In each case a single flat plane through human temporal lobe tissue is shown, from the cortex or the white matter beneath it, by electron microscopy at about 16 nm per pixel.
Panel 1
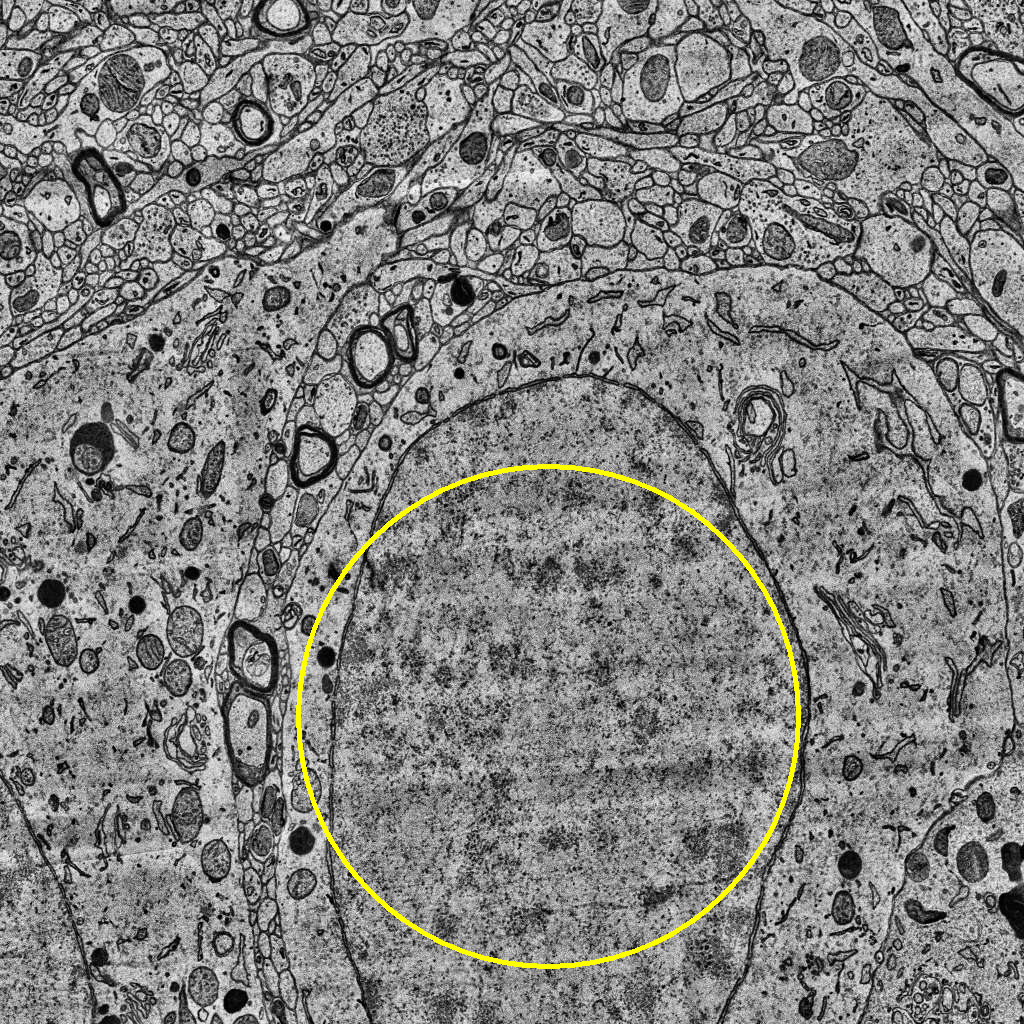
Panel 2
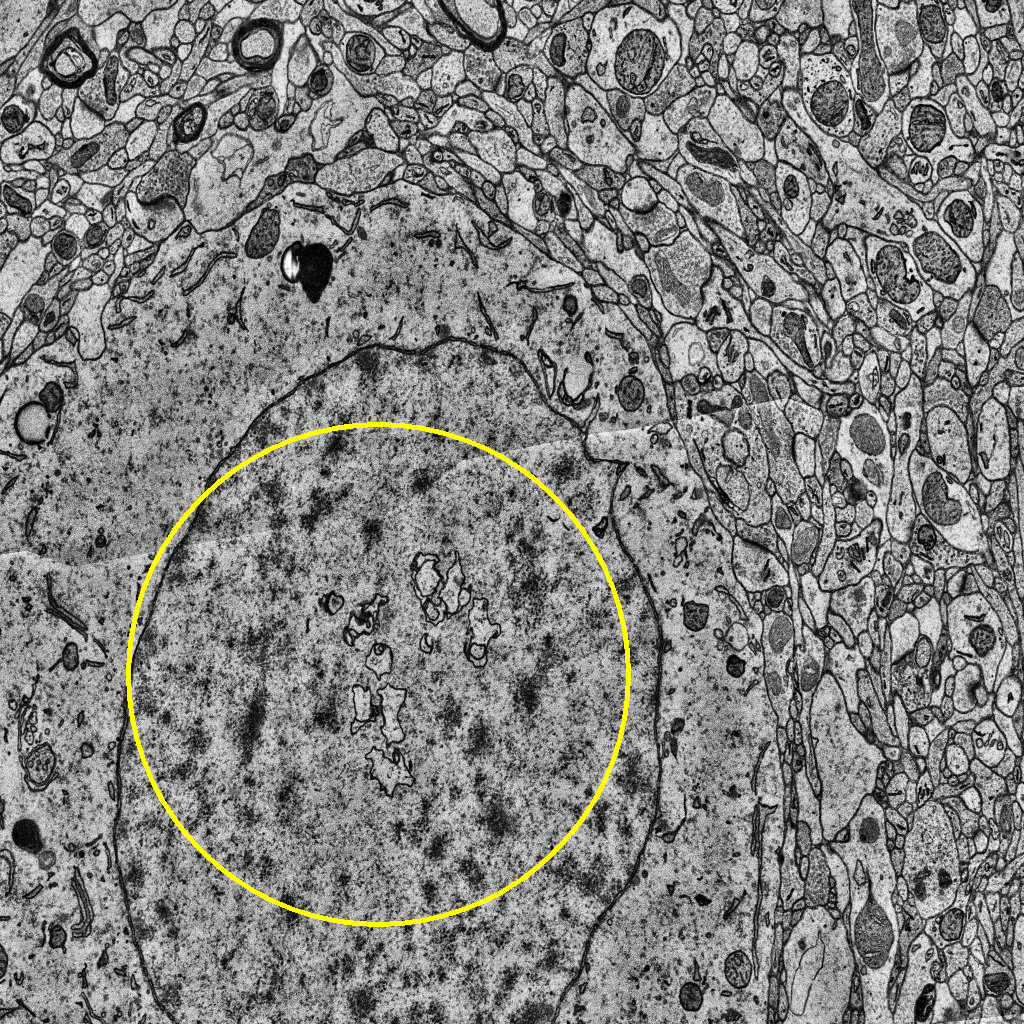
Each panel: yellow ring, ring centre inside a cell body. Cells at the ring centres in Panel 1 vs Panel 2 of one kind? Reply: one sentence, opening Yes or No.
Yes, Panel 1 and Panel 2 have cells of one kind at the ring centres.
